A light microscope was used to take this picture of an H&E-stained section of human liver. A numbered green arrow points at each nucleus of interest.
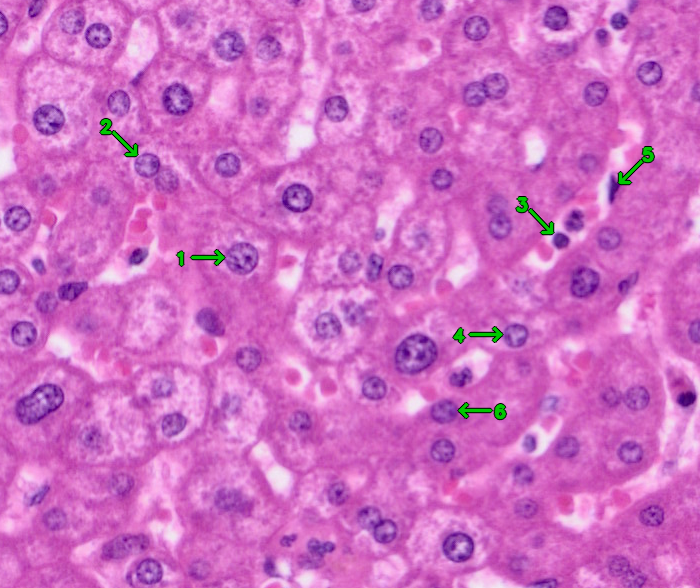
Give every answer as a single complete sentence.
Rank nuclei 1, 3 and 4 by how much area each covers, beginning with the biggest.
By area, largest first, they run 1, 4, 3.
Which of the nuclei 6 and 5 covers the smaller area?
With nucleus 6 about 3 times its size, nucleus 5 is the smaller of the two.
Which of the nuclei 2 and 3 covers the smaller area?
Nucleus 3 is the smaller one; nucleus 2 covers about 2 times its area.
